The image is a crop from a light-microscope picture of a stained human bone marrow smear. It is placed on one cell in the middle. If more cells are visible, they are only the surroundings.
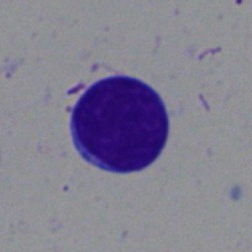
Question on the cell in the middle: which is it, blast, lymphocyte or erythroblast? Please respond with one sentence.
The central element of this crop is a cell, namely a lymphocyte.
